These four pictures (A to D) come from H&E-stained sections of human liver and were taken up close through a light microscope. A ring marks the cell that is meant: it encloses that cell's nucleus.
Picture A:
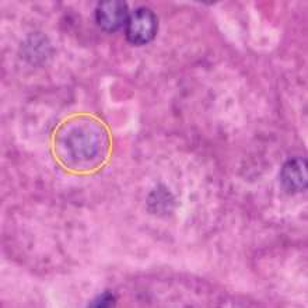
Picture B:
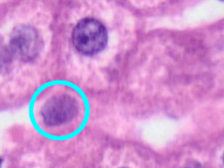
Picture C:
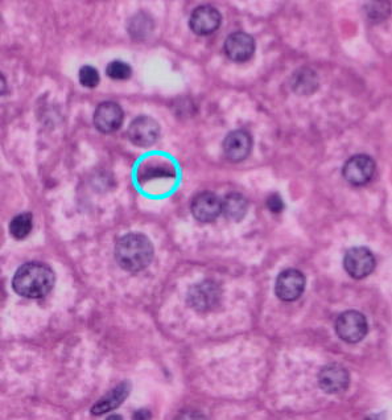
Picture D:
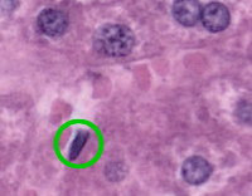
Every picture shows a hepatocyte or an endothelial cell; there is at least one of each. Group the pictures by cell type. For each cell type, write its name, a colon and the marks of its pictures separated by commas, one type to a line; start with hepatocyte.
hepatocyte: A
endothelial cell: B, C, D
